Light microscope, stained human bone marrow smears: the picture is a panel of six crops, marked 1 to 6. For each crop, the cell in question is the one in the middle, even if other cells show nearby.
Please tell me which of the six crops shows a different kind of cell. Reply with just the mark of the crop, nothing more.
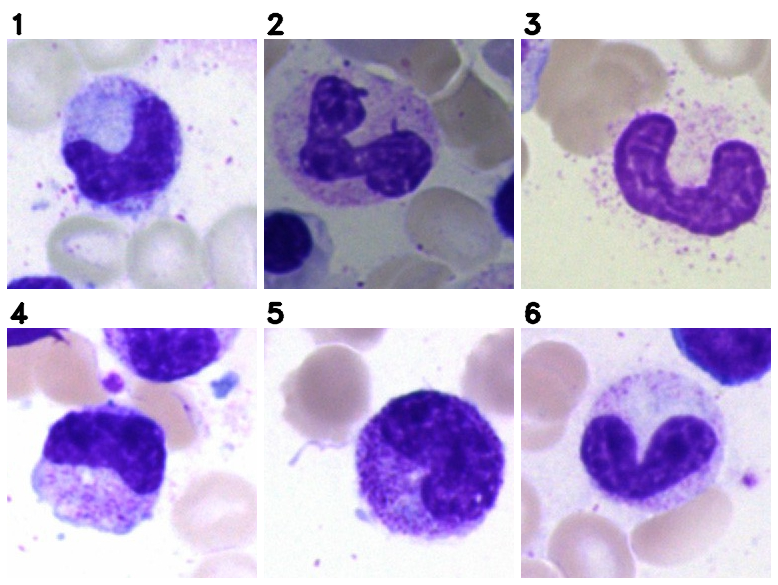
5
